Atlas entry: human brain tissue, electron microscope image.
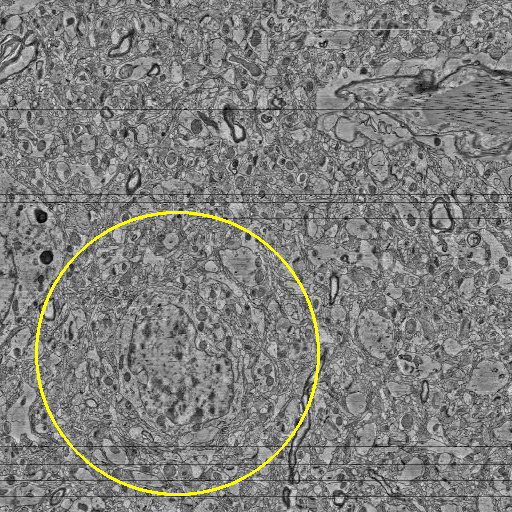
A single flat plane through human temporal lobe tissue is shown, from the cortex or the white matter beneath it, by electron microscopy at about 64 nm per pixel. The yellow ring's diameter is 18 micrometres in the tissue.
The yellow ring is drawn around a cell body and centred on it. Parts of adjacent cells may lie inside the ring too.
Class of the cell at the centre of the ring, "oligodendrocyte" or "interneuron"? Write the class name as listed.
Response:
interneuron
